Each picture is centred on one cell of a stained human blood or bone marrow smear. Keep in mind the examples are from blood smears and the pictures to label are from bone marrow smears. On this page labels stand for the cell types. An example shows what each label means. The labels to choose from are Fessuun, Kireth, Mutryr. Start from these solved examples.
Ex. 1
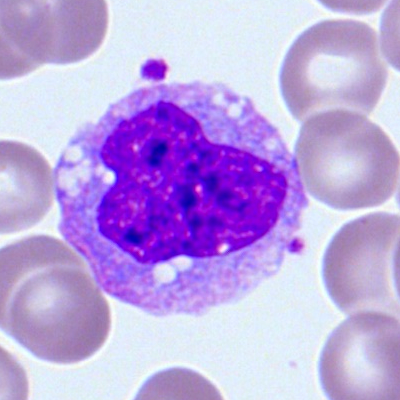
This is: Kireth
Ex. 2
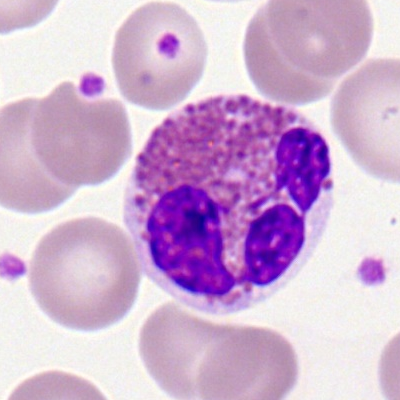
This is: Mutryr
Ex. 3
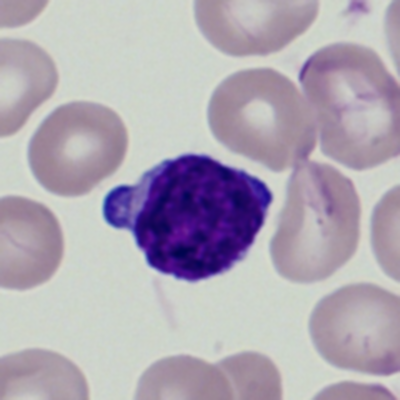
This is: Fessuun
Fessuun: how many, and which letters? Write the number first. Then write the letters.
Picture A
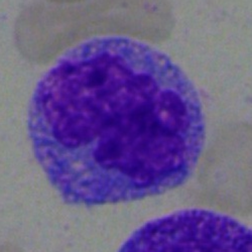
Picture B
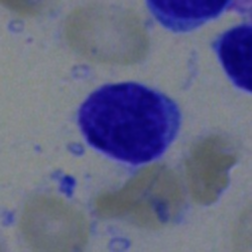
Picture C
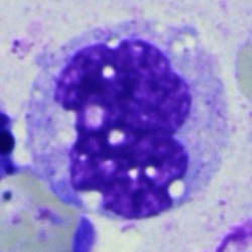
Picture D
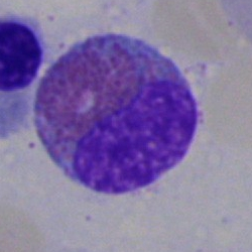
Count: 1 (B)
